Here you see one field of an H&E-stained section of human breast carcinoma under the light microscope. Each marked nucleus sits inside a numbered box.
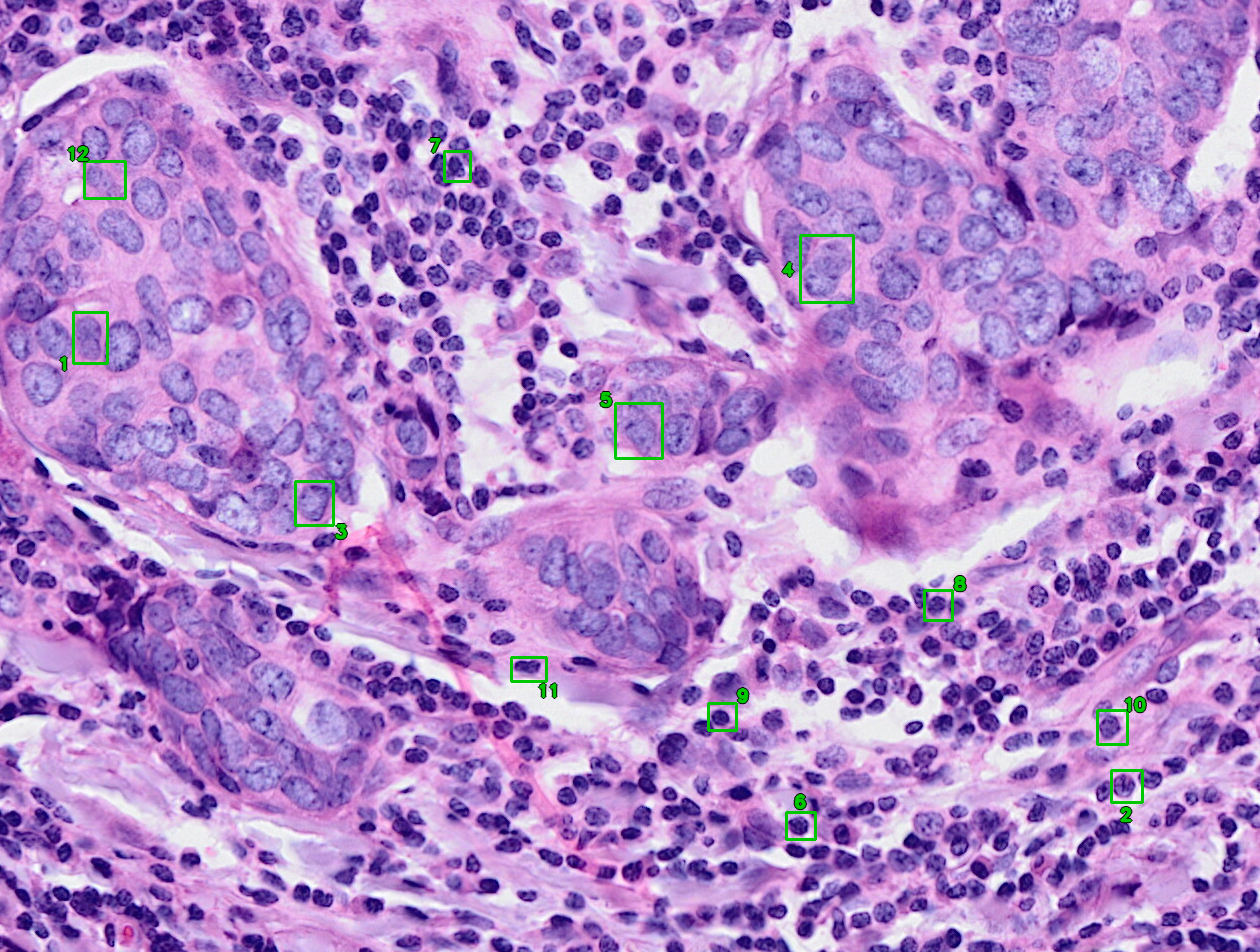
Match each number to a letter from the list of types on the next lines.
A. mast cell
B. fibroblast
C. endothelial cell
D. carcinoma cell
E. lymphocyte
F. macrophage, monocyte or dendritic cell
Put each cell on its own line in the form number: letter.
1: D
2: E
3: D
4: D
5: D
6: E
7: E
8: E
9: E
10: E
11: E
12: D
